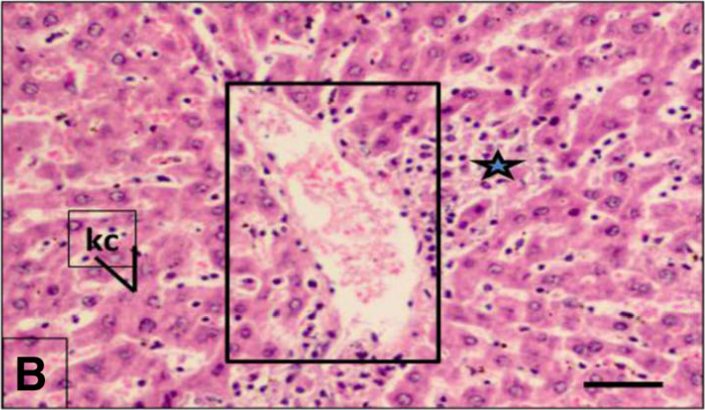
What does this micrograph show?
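This is liver tissue with pink hepatocytes around a large irregular vessel containing pale pink material. Beside the vessel and spreading into the neighbouring tissue lie many small cells with dark, round nuclei, packed more densely than the hepatocyte nuclei. The hepatocyte cords look less regular, and scattered small elongated nuclei lie along the sinusoids. The dense collection of small dark cells is an infiltration of mononuclear cells, and the area around the vessel is widened.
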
